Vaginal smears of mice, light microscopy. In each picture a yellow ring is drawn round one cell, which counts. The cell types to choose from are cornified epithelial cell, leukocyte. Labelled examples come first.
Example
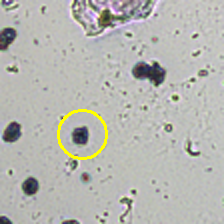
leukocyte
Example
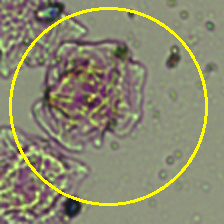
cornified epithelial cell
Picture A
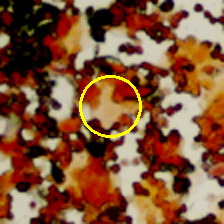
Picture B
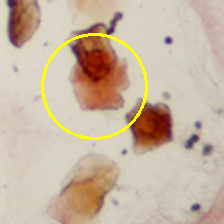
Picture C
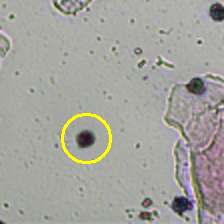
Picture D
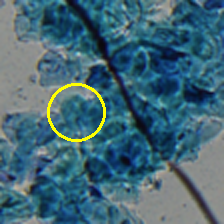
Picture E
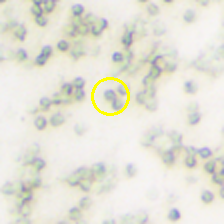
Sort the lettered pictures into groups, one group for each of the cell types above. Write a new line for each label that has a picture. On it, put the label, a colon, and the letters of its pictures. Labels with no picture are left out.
cornified epithelial cell: A, B, D
leukocyte: C, E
